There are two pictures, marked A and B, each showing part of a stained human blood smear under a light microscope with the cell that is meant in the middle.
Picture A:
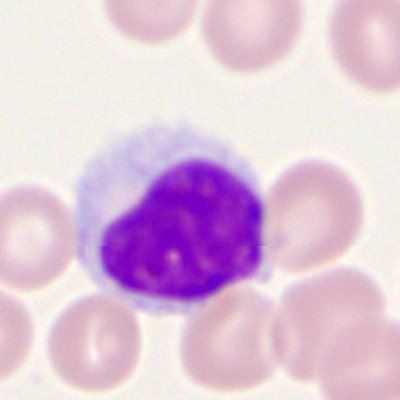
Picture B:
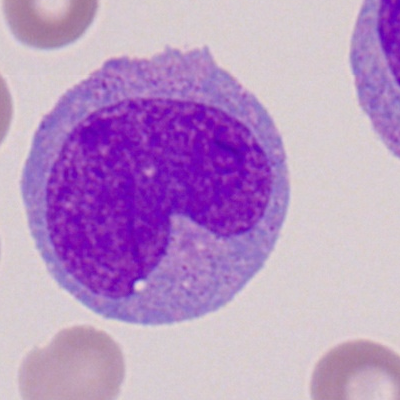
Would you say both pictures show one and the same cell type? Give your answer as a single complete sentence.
No, they differ: the cell is a lymphocyte in picture A and a myeloblast in picture B.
